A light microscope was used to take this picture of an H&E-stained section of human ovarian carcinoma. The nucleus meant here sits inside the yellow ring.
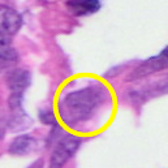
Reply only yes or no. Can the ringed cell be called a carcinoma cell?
yes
